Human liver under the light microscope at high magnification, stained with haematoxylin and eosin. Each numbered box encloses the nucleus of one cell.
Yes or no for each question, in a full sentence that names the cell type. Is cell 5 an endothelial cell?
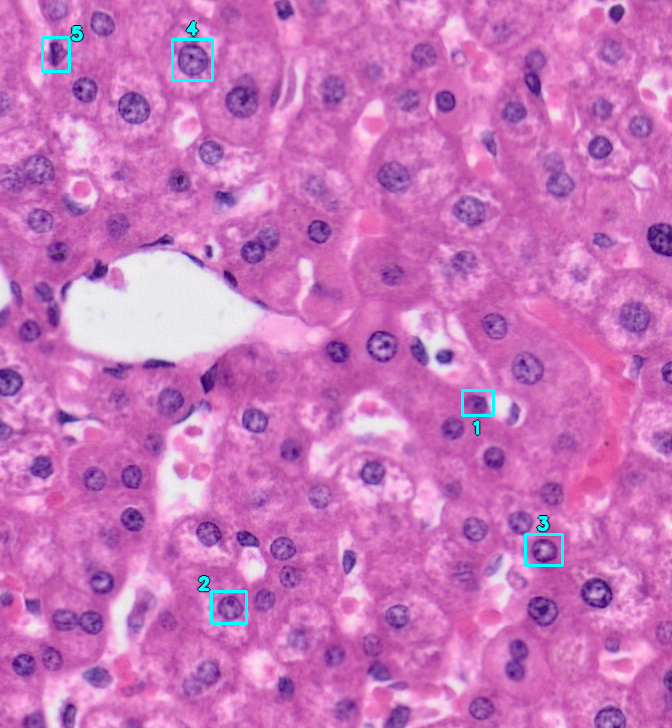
Yes, the one numbered 5 is an endothelial cell.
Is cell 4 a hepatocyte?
Yes, the cell at number 4 is a hepatocyte.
